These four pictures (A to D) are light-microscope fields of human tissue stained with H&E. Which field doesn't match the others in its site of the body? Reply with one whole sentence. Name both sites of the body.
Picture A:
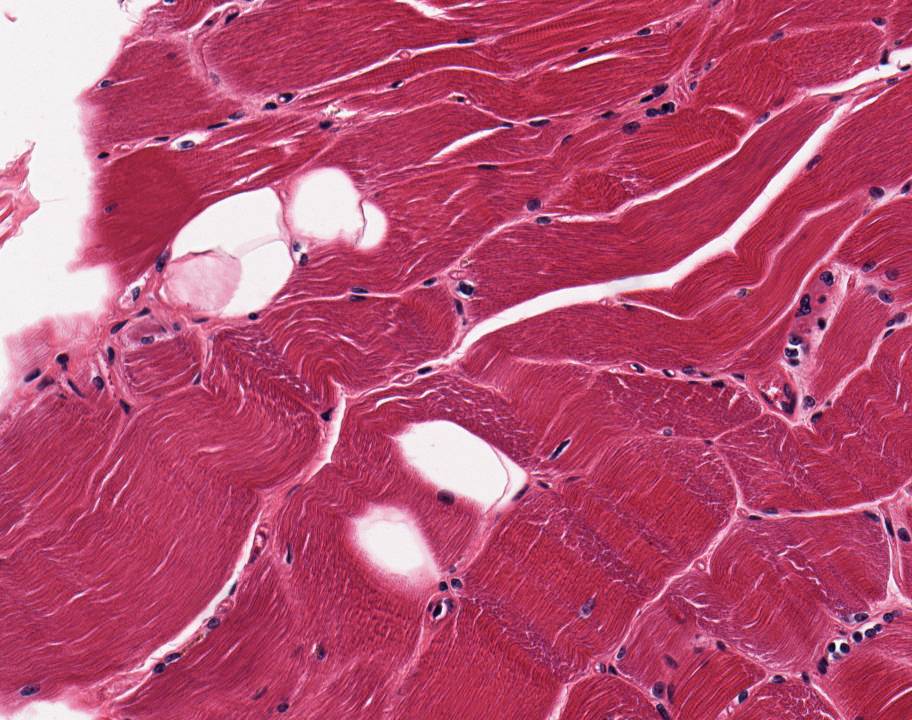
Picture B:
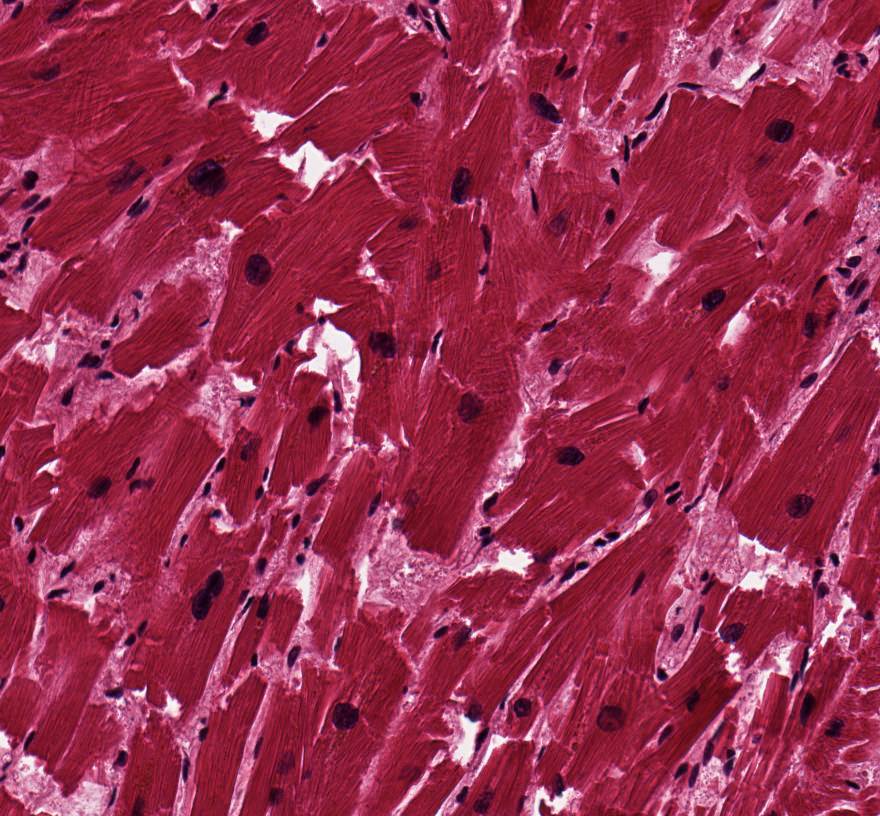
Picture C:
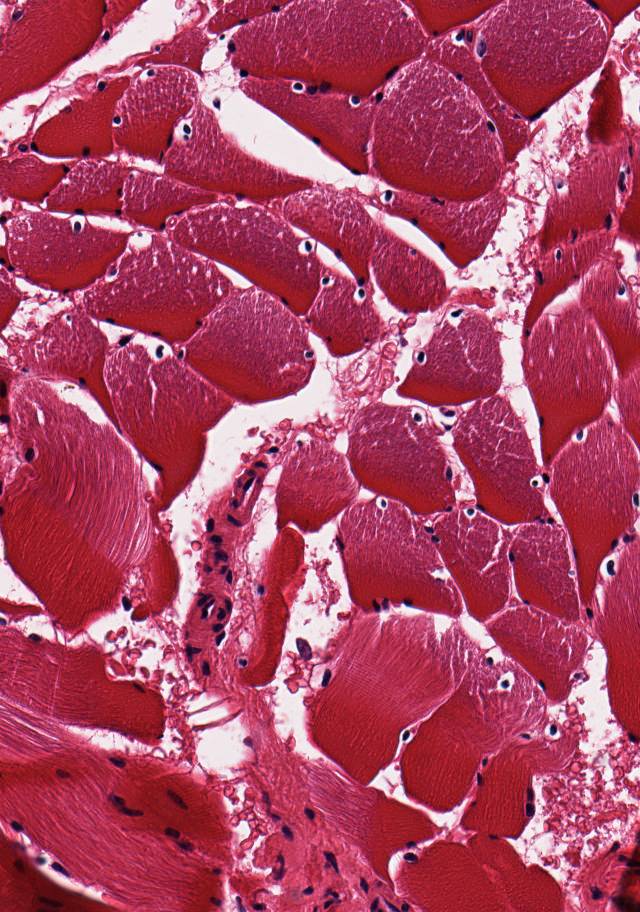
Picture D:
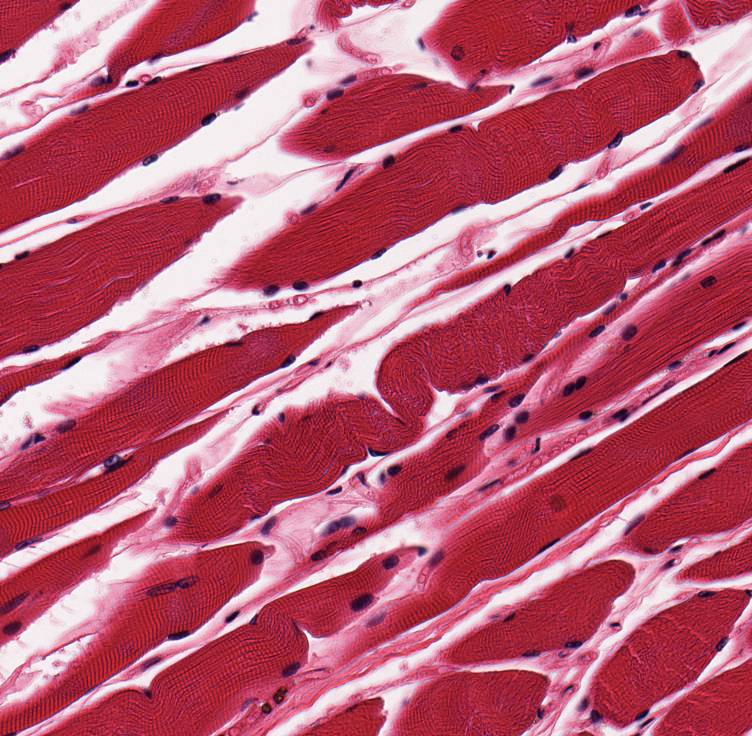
All pictures except B come from skeletal muscle; picture B comes from the left ventricle of the heart.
